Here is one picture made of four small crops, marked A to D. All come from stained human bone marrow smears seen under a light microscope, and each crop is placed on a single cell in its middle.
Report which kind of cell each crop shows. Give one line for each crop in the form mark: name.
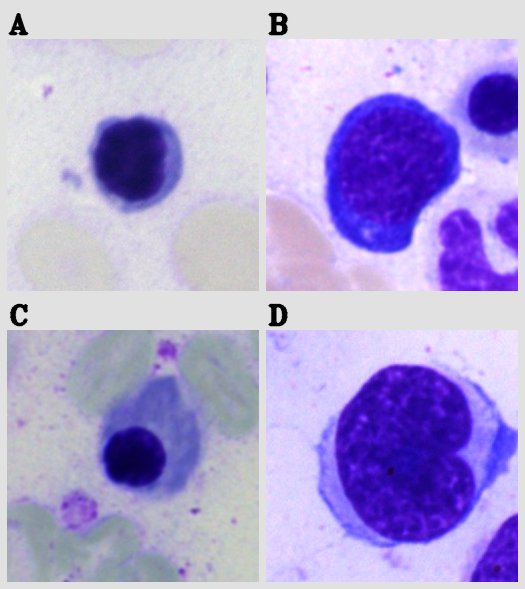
A: lymphocyte
B: normoblast
C: normoblast
D: blast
